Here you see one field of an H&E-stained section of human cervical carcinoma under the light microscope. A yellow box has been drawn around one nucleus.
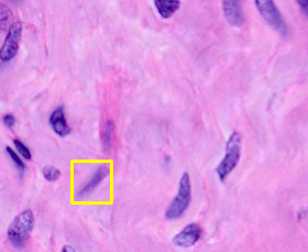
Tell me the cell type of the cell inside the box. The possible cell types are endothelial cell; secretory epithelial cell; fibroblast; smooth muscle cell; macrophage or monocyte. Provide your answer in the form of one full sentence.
In this tissue sample, the cell inside the box is a fibroblast.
